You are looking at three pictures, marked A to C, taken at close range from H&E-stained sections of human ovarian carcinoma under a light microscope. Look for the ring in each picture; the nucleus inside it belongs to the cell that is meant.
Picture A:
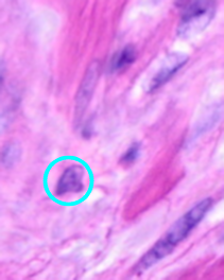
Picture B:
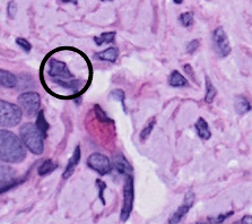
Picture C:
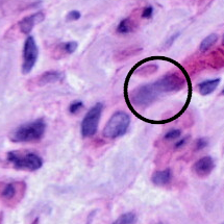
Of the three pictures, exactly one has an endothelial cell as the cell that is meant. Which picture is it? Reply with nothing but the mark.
C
